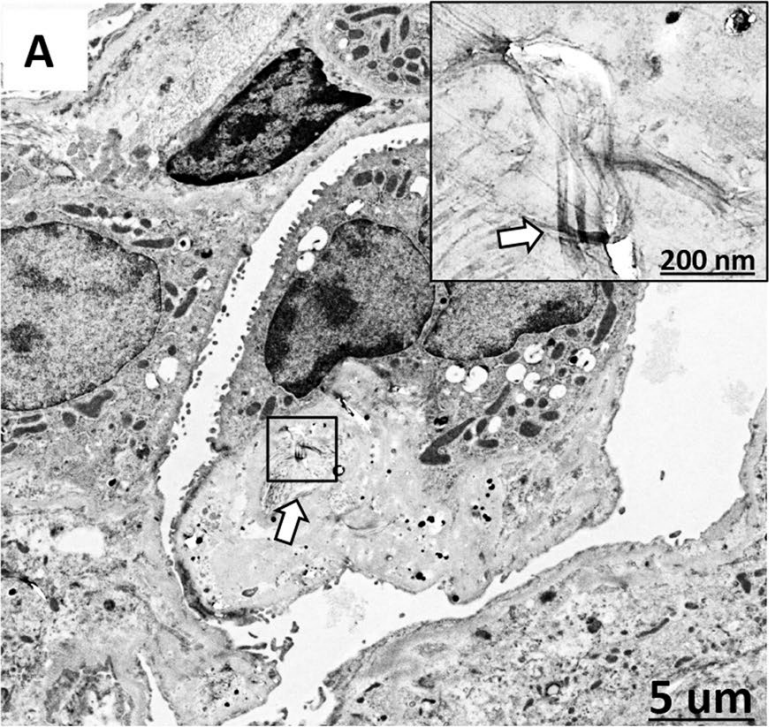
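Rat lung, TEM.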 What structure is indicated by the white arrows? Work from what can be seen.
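Very thin curved fibers. The inset shows fine dark threads bending in arcs.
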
